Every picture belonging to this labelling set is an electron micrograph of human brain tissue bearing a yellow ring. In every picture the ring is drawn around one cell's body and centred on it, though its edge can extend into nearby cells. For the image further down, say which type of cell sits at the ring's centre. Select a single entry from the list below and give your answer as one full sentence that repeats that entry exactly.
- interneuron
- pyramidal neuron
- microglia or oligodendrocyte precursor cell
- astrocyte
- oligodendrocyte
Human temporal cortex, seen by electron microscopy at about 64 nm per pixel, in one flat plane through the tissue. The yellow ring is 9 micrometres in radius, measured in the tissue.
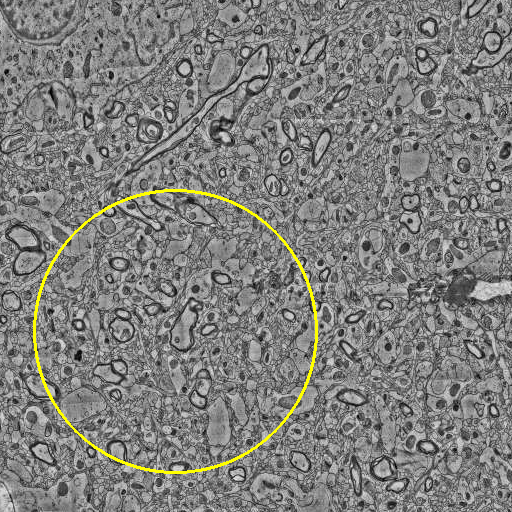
In the picture, an oligodendrocyte is the cell at the centre of the yellow ring.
